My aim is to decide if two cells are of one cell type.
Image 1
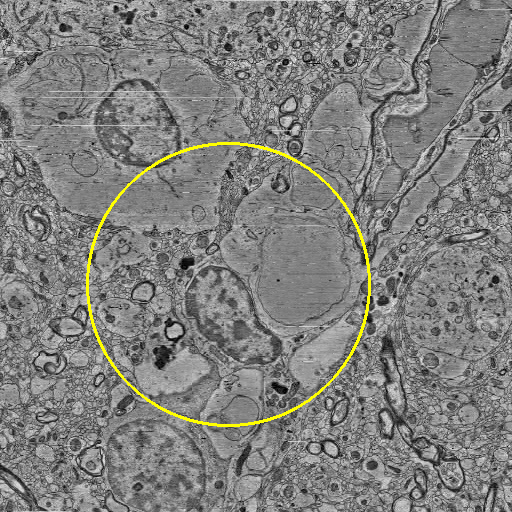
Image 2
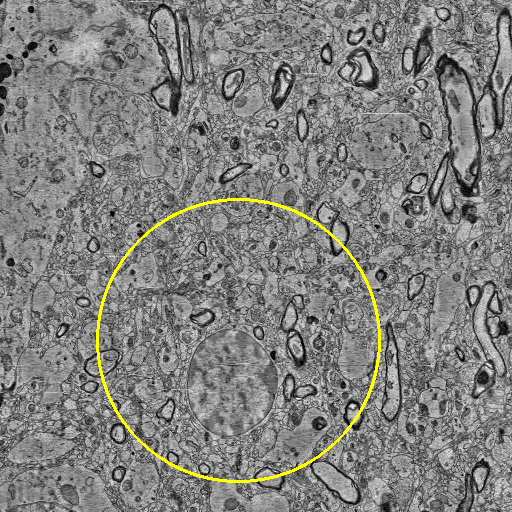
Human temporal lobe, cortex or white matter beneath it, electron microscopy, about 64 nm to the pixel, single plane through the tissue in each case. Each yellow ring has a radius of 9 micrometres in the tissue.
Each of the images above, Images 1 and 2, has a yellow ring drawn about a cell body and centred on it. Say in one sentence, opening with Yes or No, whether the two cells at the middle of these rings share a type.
Yes, in Images 1 and 2 the cells at the middle of the rings share one type.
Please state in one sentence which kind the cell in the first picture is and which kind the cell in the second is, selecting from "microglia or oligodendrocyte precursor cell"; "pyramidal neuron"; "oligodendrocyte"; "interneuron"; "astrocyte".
The first and the second cell are each a microglial cell or oligodendrocyte precursor cell.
